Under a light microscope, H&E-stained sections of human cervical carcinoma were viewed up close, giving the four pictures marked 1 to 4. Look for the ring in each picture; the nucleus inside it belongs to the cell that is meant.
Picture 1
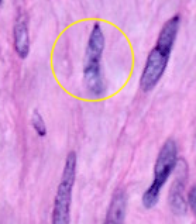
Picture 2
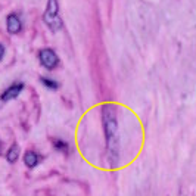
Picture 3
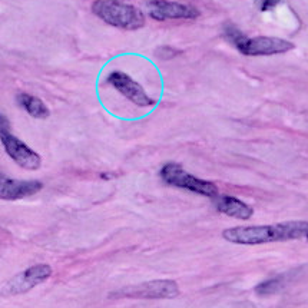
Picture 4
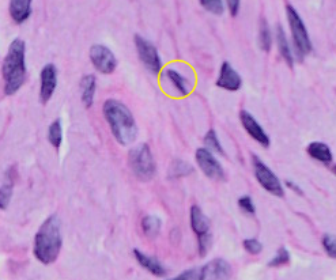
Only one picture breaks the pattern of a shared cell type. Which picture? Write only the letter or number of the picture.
2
